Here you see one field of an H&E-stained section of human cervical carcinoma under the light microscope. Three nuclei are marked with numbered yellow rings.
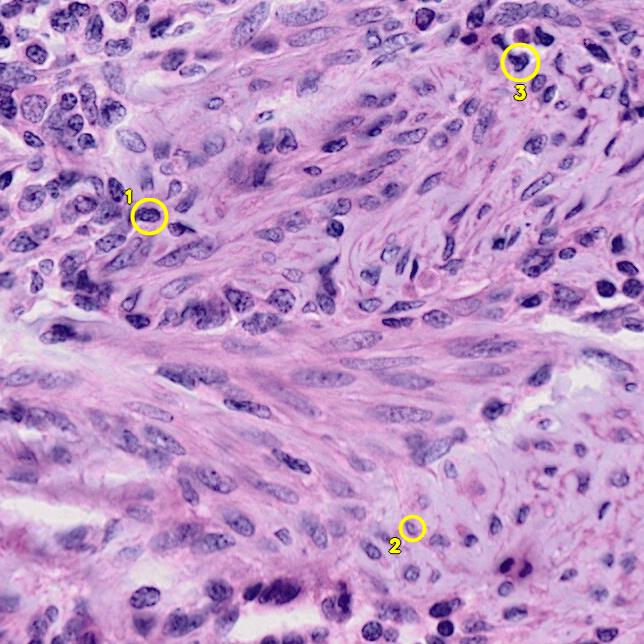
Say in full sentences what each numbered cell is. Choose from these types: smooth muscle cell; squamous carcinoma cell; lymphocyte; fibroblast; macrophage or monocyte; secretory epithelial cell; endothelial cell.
Cell 1 is a lymphocyte, cell 2 is a smooth muscle cell and cell 3 is a lymphocyte.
